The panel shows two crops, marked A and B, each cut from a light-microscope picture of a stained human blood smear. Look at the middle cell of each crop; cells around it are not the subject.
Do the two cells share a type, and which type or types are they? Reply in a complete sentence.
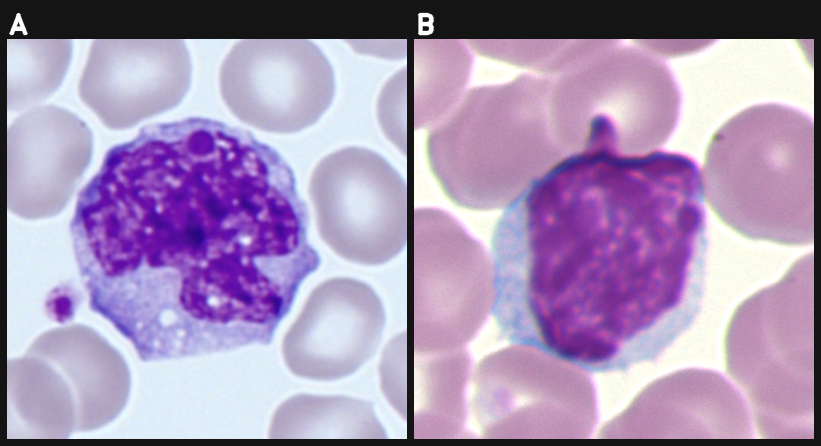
No, crop A and crop B show a monocyte and a lymphocyte respectively.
